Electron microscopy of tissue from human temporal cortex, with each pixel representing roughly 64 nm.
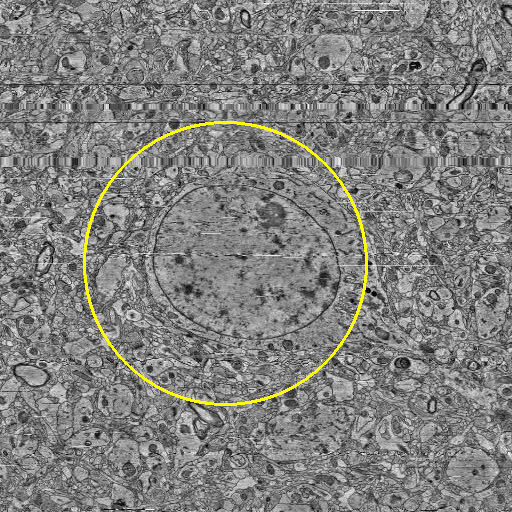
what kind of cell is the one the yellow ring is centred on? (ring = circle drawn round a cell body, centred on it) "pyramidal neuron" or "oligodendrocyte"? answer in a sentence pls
The ring is drawn around a pyramidal neuron.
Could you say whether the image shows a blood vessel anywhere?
No, the image shows no blood vessel.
